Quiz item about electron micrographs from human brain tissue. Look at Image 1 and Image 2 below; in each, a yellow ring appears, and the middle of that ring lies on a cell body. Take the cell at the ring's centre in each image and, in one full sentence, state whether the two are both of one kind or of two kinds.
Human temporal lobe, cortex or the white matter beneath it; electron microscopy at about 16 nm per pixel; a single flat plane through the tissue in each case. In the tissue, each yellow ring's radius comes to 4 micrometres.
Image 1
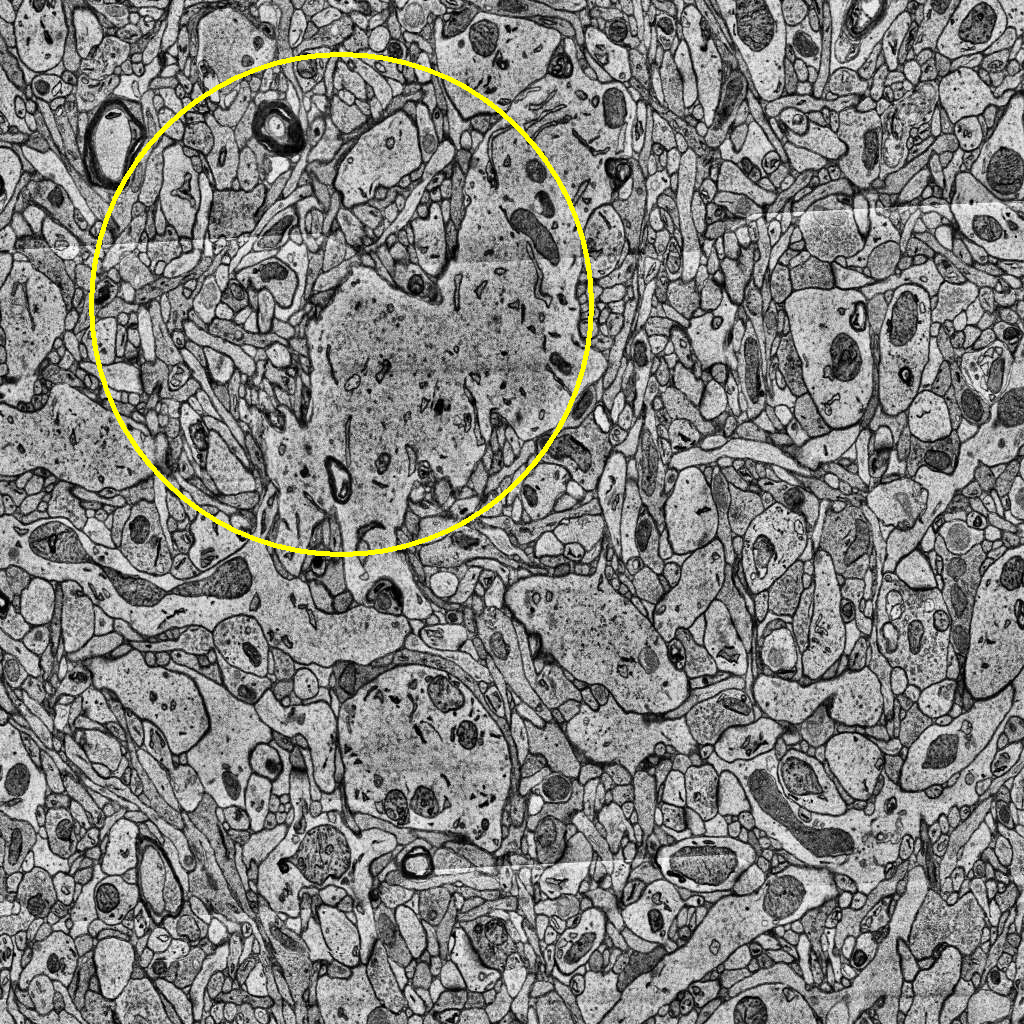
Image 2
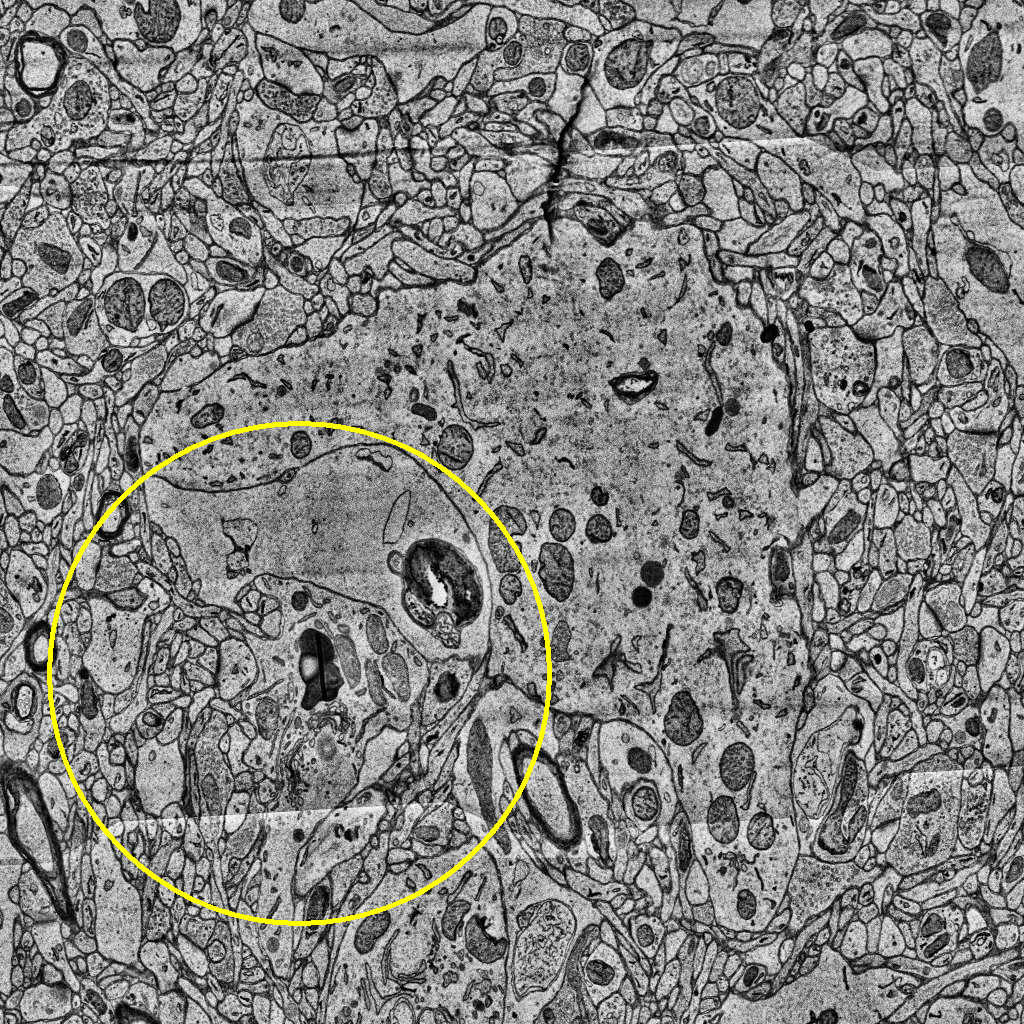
In Image 1 and Image 2, the cells at the ring centres are both of one kind.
